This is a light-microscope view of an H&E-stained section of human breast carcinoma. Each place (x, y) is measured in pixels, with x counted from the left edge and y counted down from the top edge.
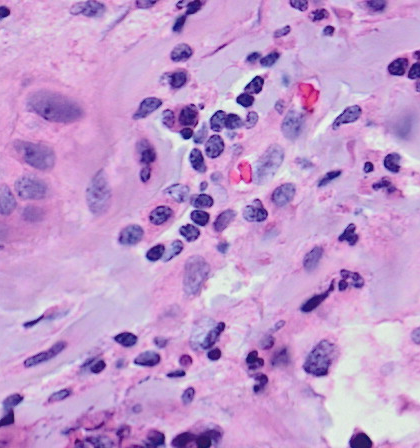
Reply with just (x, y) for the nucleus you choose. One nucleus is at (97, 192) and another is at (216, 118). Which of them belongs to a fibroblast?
(97, 192)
